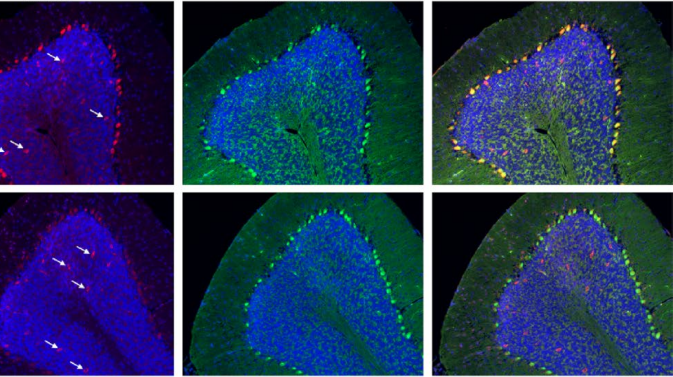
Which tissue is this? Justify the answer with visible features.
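A folium with a dense blue core of small nuclei. On this evidence: cerebellum.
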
